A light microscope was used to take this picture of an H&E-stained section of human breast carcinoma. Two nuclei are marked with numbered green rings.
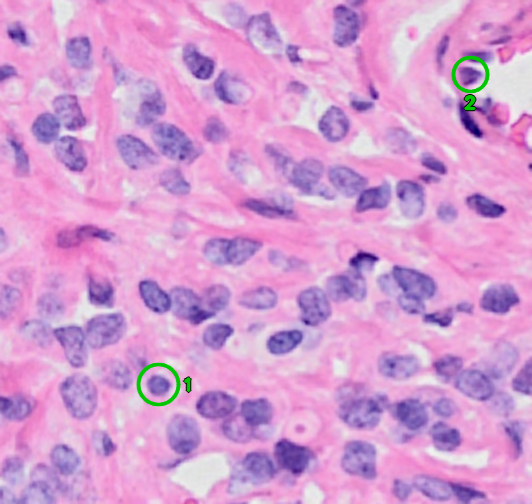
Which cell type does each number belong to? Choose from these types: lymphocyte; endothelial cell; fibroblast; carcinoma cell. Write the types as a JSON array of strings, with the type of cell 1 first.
["lymphocyte", "endothelial cell"]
